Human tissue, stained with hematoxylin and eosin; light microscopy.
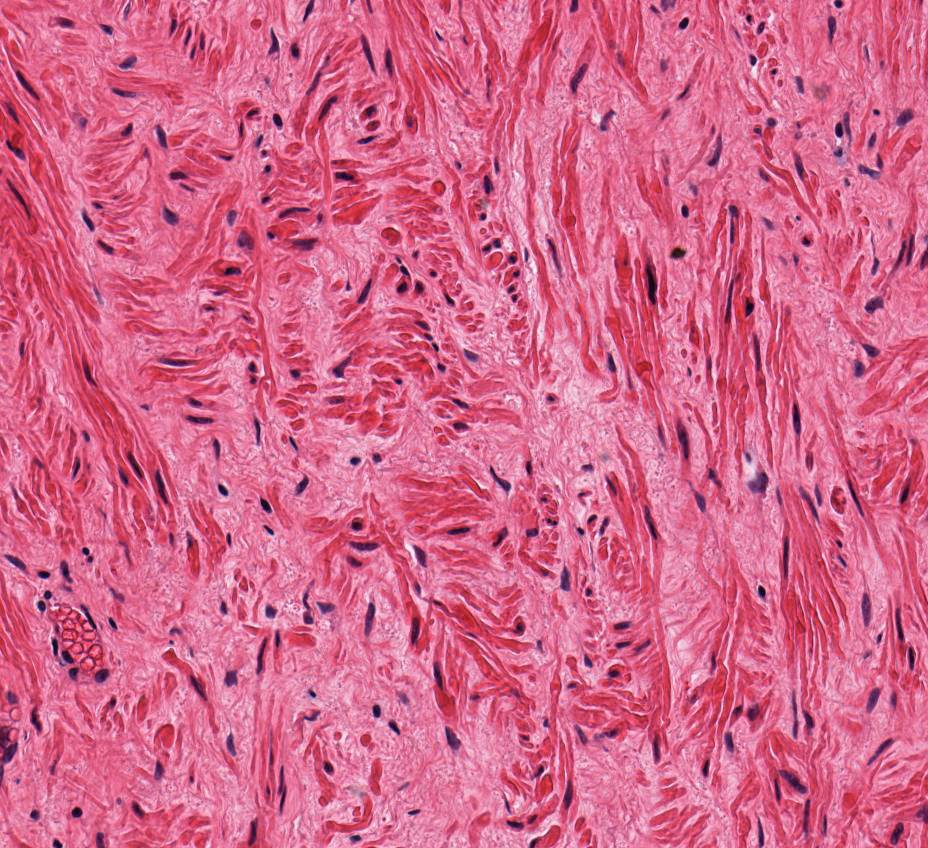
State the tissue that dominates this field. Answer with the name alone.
fibromuscular stroma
